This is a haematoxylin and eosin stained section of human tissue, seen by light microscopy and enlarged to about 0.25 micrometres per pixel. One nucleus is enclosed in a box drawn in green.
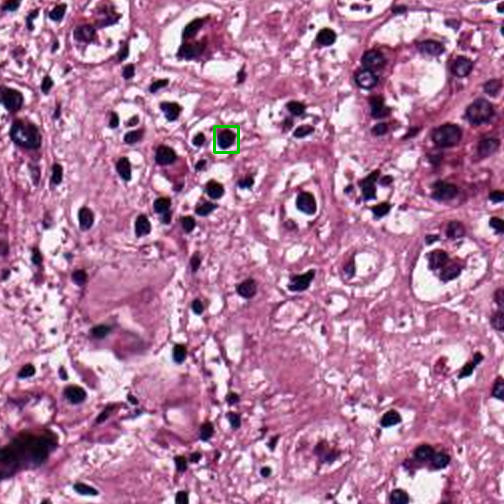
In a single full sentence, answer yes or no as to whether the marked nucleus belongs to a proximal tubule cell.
No, rather than a proximal tubule cell, it is a supporting cell that contains the marked nucleus.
